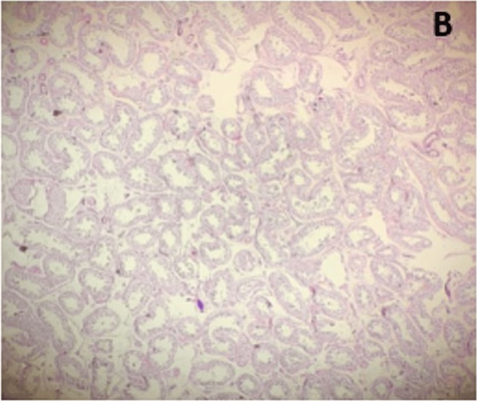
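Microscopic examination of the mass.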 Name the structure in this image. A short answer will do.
Seminiferous tubules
